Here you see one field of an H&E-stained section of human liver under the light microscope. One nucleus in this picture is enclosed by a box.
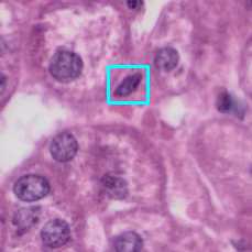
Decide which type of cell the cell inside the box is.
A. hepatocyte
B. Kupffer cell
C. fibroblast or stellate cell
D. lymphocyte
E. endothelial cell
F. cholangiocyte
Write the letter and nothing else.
C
